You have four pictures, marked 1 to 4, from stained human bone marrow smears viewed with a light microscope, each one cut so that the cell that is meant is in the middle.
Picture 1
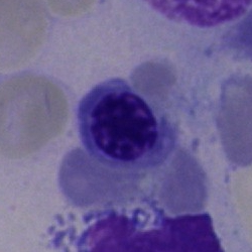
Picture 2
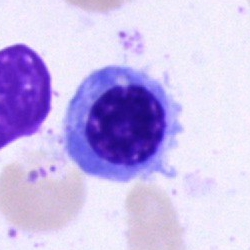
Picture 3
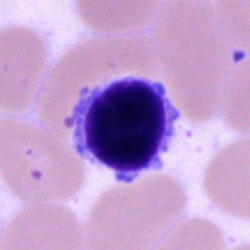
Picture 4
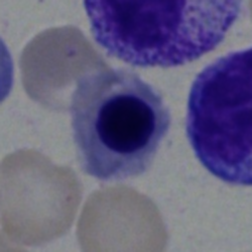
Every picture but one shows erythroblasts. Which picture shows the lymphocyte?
3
